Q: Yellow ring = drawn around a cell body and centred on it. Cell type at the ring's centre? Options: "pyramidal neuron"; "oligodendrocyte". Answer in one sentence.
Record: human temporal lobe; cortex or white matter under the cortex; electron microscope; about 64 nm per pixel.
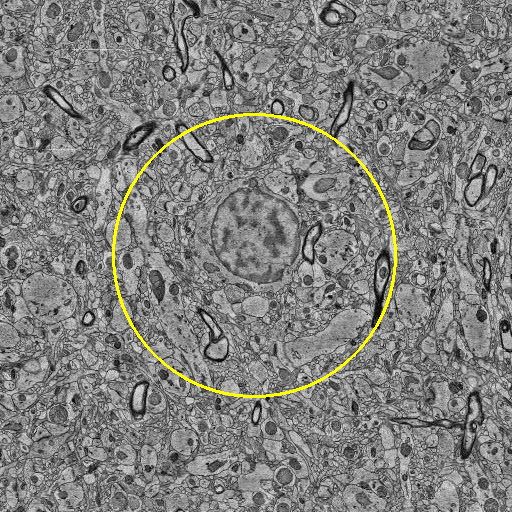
Centred in the ring is an oligodendrocyte.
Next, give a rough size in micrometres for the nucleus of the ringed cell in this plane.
The ringed cell's nucleus is about 6 micrometres across in this plane.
